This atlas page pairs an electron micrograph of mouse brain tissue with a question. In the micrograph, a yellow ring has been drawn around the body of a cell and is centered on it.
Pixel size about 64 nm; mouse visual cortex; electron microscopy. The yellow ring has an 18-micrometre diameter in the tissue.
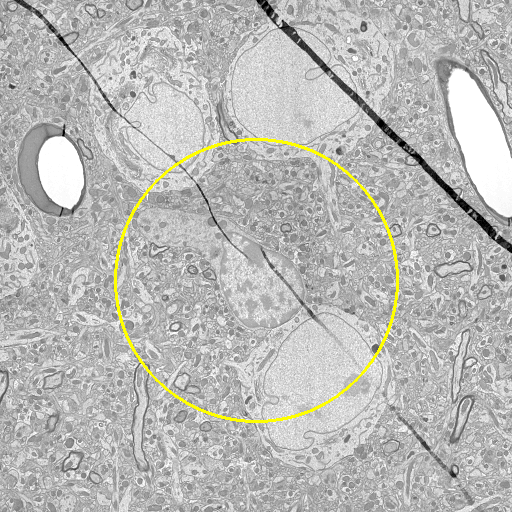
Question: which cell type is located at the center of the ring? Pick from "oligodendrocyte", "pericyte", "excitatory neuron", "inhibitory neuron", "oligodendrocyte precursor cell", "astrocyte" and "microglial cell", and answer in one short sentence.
Located at the center of the ring is an oligodendrocyte.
